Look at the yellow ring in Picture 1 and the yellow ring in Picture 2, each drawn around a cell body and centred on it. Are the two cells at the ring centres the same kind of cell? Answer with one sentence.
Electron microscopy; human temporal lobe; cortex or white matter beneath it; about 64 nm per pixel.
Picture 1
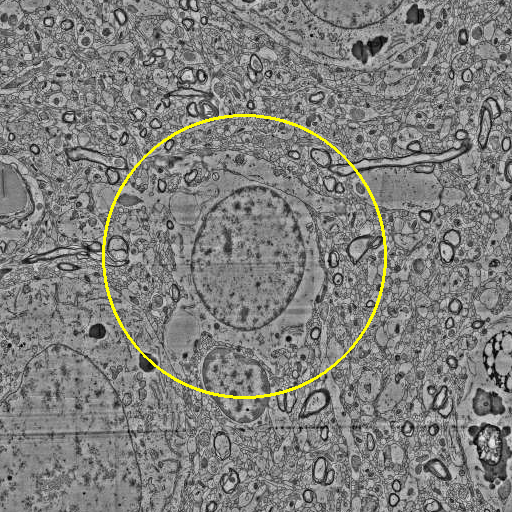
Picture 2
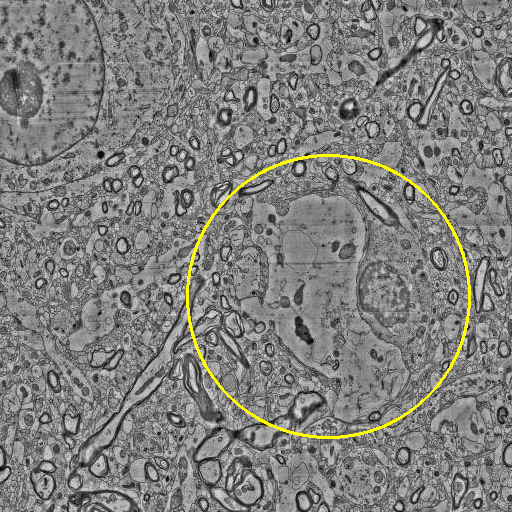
Yes, both are the same kind of cell.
